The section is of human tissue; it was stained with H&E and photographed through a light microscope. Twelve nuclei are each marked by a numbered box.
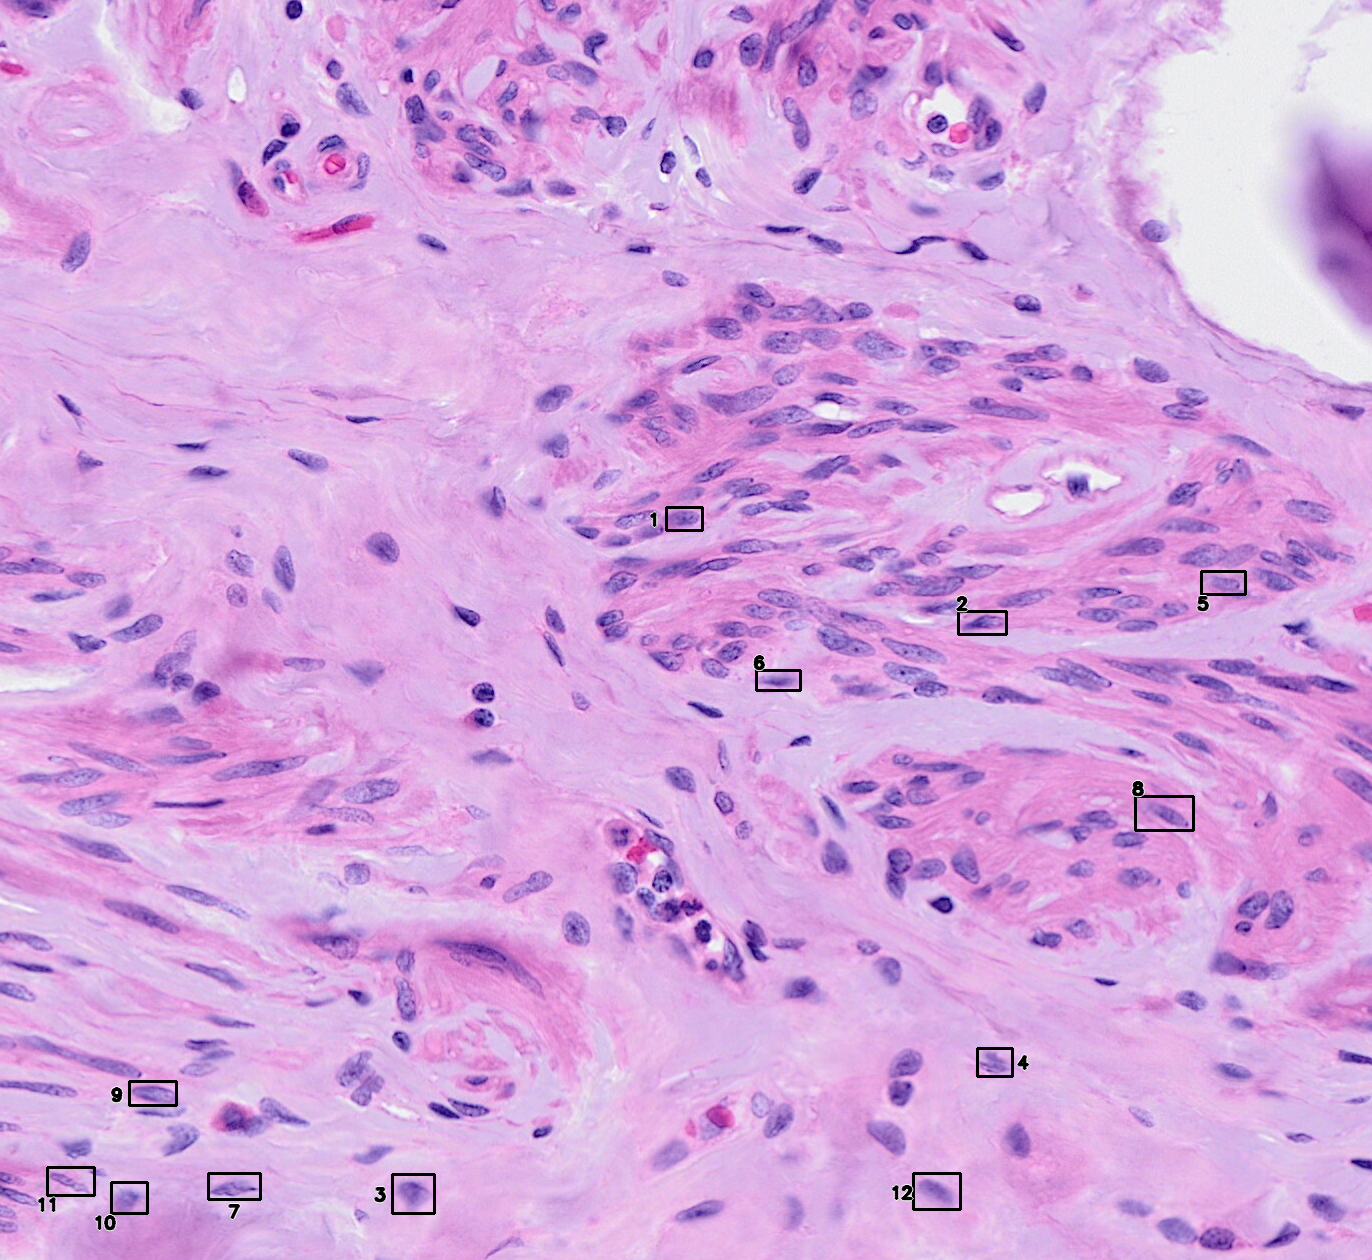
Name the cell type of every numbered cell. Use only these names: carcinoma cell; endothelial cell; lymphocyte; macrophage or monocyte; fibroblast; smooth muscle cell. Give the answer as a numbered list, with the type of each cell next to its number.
1. smooth muscle cell
2. smooth muscle cell
3. fibroblast
4. fibroblast
5. smooth muscle cell
6. smooth muscle cell
7. fibroblast
8. smooth muscle cell
9. smooth muscle cell
10. fibroblast
11. smooth muscle cell
12. fibroblast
